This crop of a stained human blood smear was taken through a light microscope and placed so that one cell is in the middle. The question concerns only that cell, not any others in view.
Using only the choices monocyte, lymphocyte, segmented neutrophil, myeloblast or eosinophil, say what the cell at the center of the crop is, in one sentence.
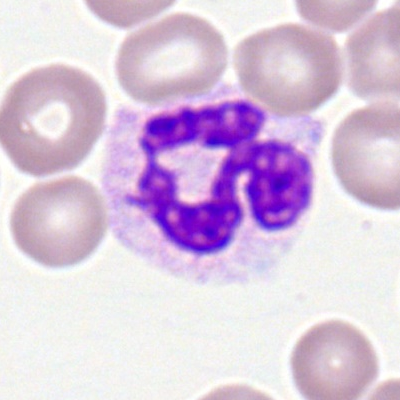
The cell in the middle of this crop is a segmented neutrophil.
